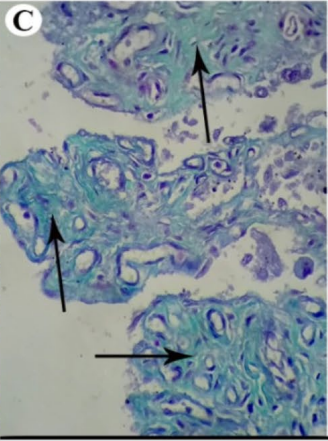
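This is placental tissue cut as several separate projections lying in clear space. Many small round to oval lumina lined by flattened cells with dark purple nuclei lie within this green fibrous core. The outer edges of the projections carry a thin layer of cells with bluish-purple nuclei.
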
